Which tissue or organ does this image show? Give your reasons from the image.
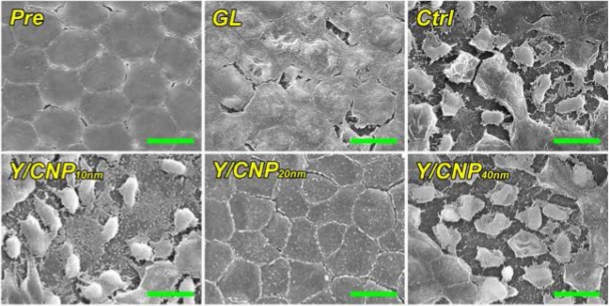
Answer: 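Endothelium. In some tiles a single sheet of flat polygonal cells lies with thin borders between neighbours. In other tiles the cell sheet is broken, with cells retracted from a rough underlying surface.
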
